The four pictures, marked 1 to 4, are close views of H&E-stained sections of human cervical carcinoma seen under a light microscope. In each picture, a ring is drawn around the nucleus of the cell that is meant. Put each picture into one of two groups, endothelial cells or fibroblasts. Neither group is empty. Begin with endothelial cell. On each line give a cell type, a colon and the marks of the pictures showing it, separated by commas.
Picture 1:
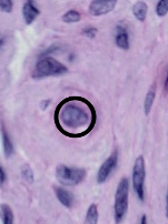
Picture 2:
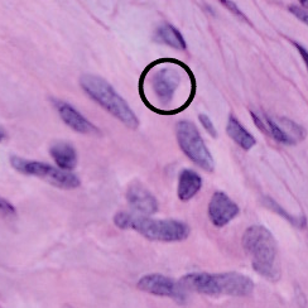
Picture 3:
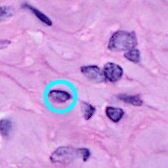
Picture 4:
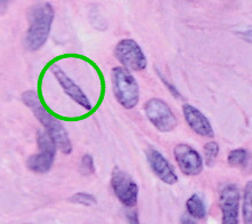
endothelial cell: 1
fibroblast: 2, 3, 4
